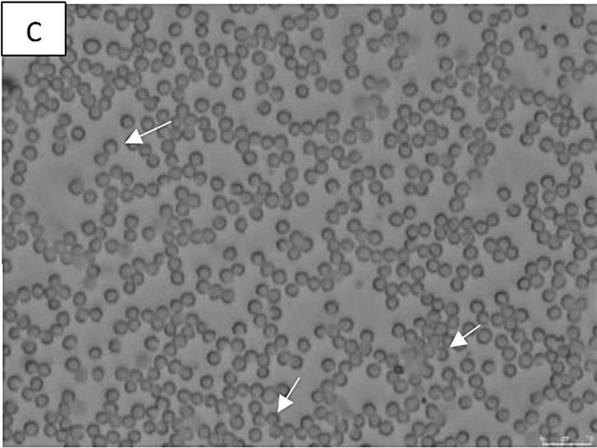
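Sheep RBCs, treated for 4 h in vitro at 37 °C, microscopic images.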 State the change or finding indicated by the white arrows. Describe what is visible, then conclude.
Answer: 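The arrows point at cells that look fainter and less sharply outlined than their neighbours. Near the arrows the background is patchy and greyer.
Damaged erythrocytes.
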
